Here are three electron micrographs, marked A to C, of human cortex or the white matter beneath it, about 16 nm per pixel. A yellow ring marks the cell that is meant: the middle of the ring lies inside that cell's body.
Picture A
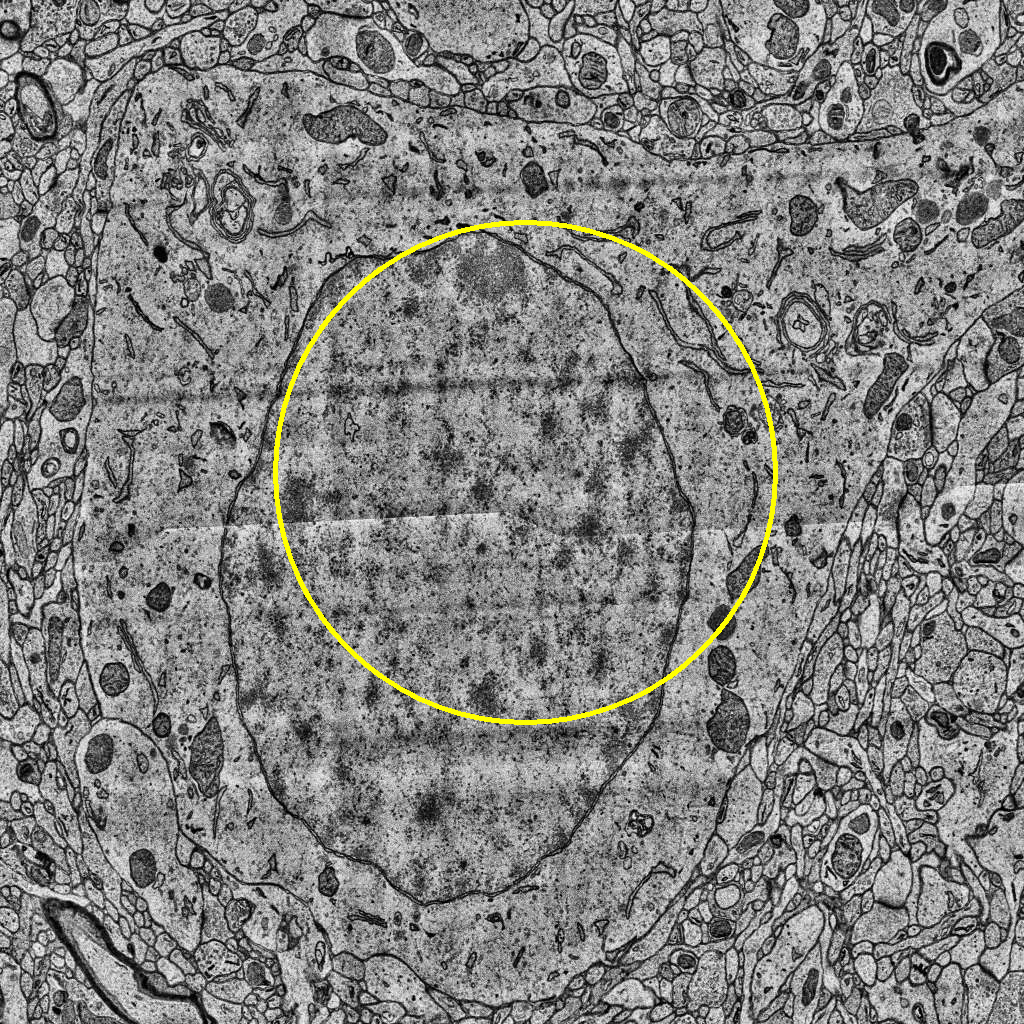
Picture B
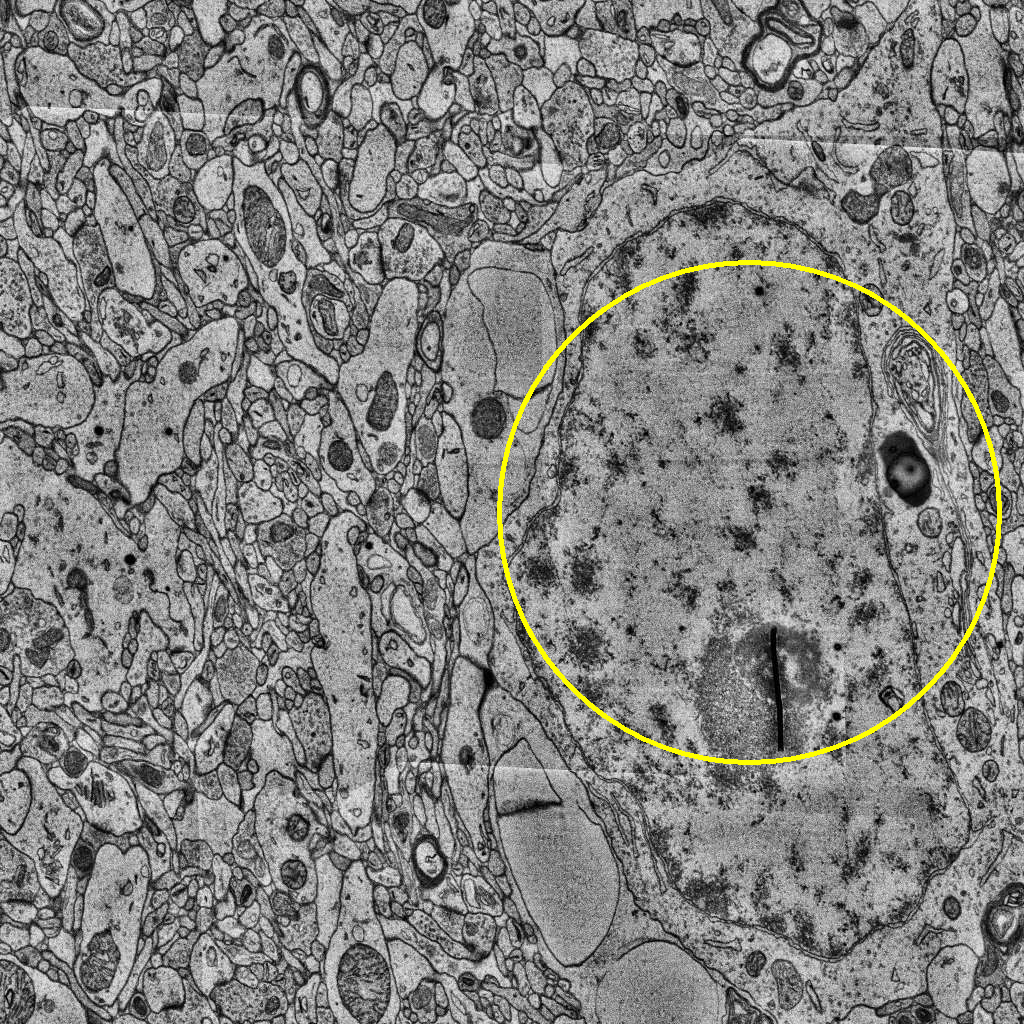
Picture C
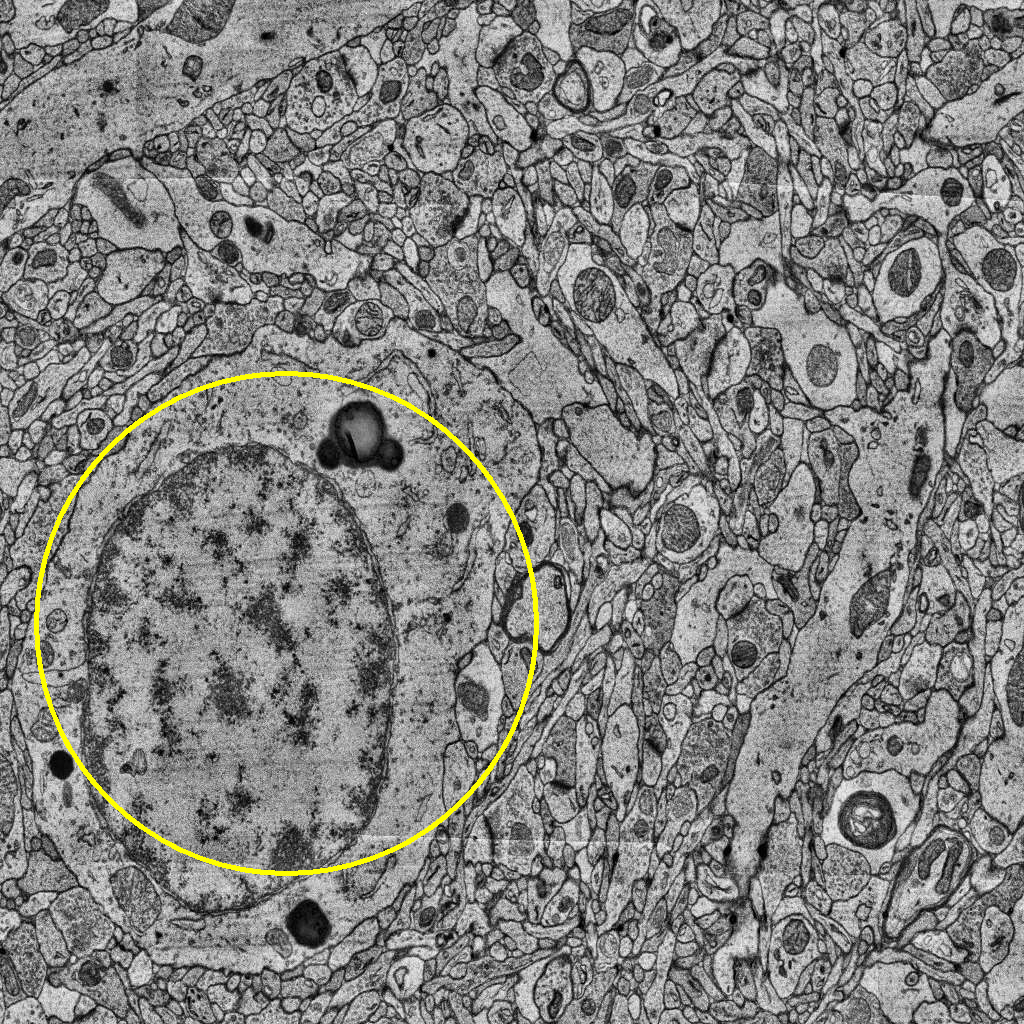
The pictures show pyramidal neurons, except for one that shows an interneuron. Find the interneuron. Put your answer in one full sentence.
It is picture B that shows the interneuron.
